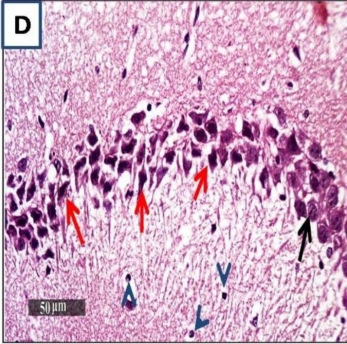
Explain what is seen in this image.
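This is the pyramidal cell layer of the hippocampus, where most of the neurons have turned small, angular and dark purple, their nuclei and cytoplasm blurred into one dense mass. Only a few cells keep a rounder shape with a paler nucleus. The band looks thinned and irregular rather than evenly packed. Beneath it the pink neuropil is loose and streaked with clear spaces, suggesting edema. Small cells with small dark round nuclei, glial cells, are scattered through this pale layer.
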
